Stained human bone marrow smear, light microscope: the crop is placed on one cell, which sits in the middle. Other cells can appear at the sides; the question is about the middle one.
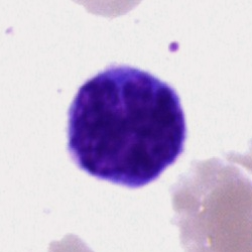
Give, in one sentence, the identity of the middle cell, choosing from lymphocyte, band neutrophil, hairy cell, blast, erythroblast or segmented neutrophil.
The cell featured at the centre of this crop is a lymphocyte.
